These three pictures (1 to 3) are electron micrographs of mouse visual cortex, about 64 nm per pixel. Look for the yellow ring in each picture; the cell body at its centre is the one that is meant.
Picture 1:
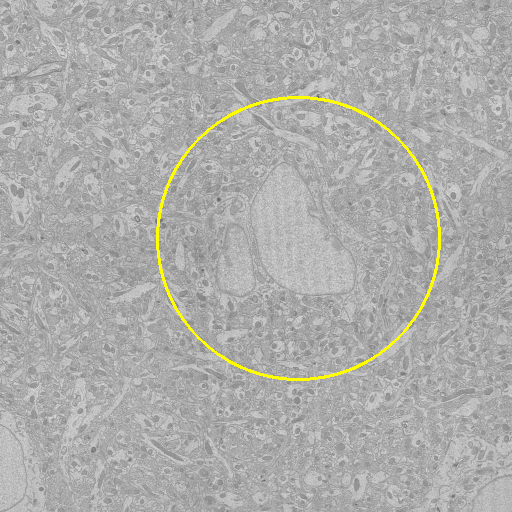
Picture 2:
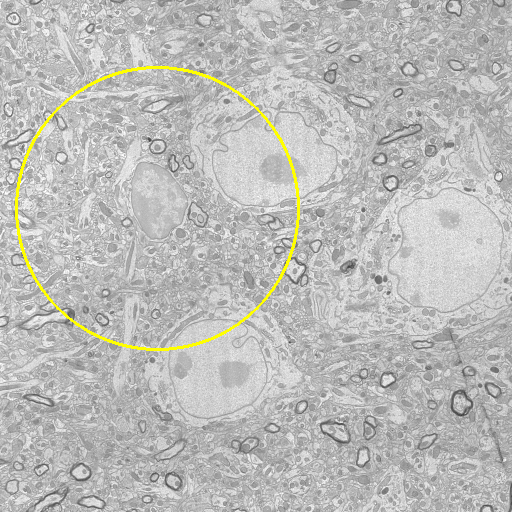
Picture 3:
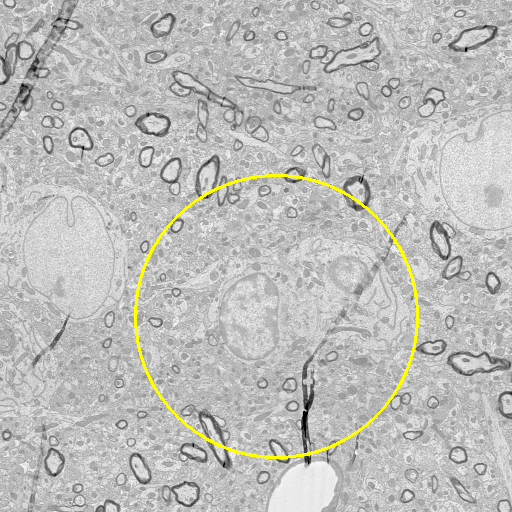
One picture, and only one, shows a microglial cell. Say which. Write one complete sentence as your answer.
The microglial cell is the one in picture 2.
